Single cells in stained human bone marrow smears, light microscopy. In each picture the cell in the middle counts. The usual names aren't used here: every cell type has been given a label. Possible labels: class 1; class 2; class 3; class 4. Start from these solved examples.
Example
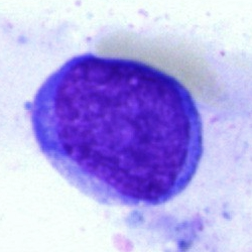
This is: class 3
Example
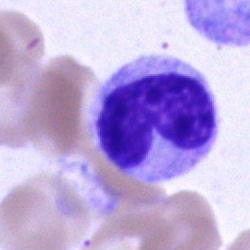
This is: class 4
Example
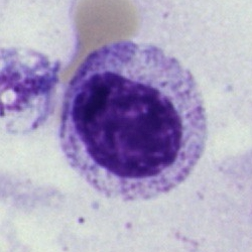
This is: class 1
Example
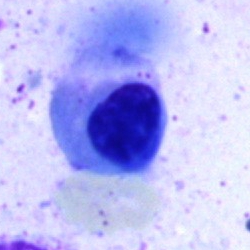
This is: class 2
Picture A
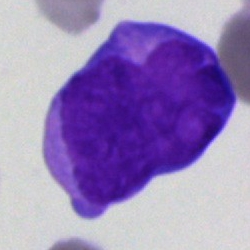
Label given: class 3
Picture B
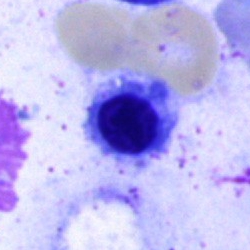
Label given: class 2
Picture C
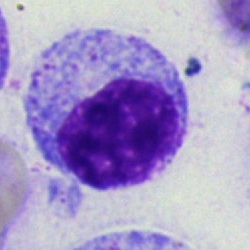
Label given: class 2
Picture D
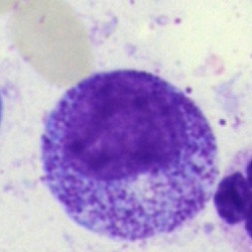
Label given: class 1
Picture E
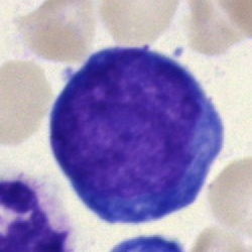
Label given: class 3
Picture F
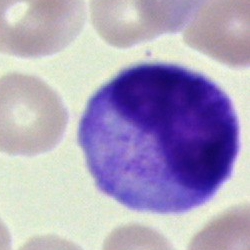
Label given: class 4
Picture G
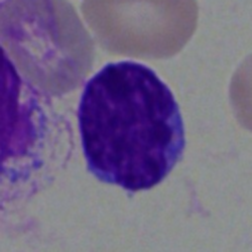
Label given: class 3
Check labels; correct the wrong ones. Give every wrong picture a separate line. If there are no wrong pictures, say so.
C: change class 2 to class 1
